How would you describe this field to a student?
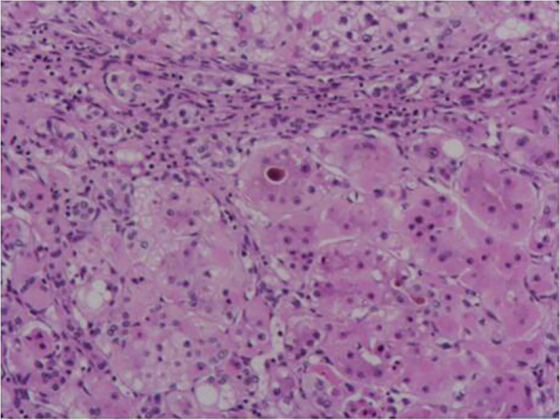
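Liver with lost lobular structure, where a band of fibrous tissue crowded with small, dark, round lymphocyte nuclei runs along the top. Below it lie clusters of large polygonal hepatocytes with pink cytoplasm and round nuclei, a few with clear vacuoles, and a dark brown-red plug of bile sits among them.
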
